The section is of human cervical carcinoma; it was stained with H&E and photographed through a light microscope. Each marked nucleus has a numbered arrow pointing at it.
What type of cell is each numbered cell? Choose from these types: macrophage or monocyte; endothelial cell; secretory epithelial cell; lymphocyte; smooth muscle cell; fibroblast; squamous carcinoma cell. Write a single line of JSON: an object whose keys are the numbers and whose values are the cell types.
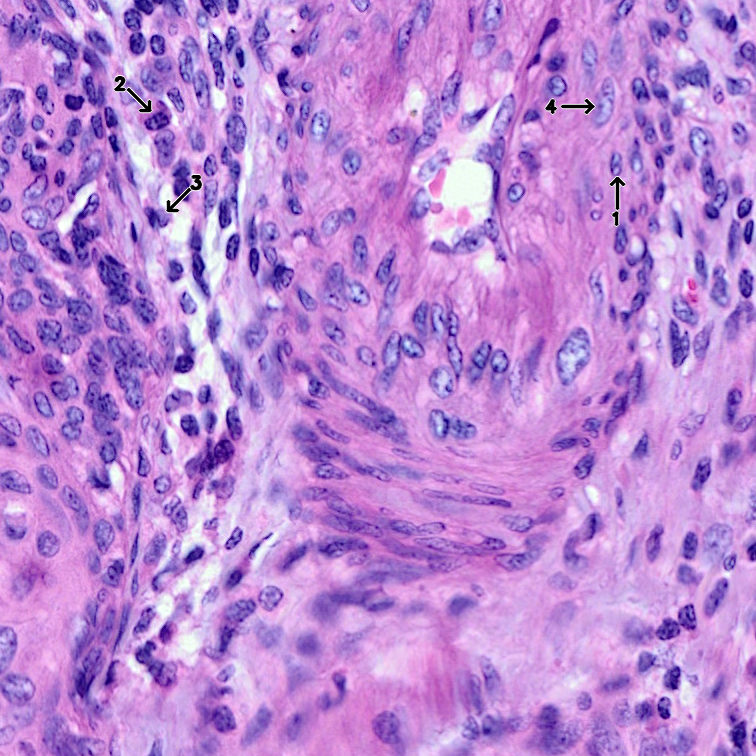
{"1": "smooth muscle cell", "2": "lymphocyte", "3": "lymphocyte", "4": "smooth muscle cell"}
